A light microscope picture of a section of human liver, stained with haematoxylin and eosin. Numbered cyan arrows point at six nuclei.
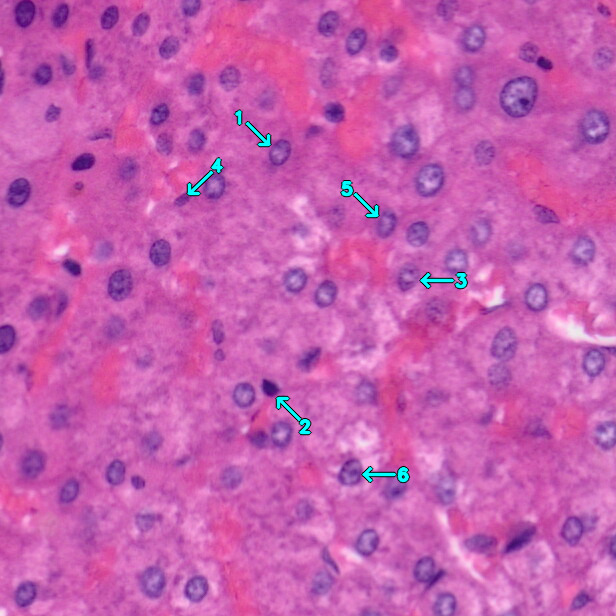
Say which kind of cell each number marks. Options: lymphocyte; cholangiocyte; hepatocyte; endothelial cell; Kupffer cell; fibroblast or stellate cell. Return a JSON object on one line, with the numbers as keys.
{"1": "hepatocyte", "2": "fibroblast or stellate cell", "3": "hepatocyte", "4": "fibroblast or stellate cell", "5": "hepatocyte", "6": "hepatocyte"}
